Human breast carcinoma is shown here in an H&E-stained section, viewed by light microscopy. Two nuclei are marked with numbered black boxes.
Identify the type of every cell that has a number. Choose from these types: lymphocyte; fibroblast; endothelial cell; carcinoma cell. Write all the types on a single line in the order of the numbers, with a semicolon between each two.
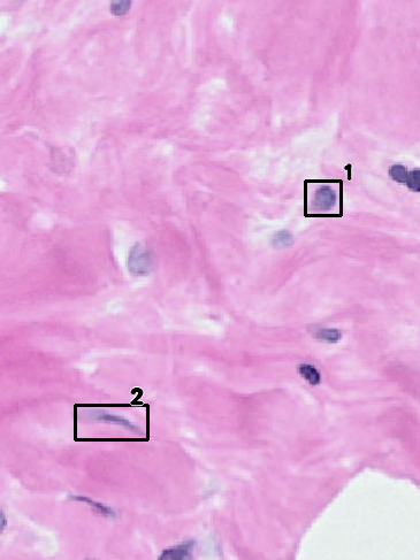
lymphocyte; fibroblast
